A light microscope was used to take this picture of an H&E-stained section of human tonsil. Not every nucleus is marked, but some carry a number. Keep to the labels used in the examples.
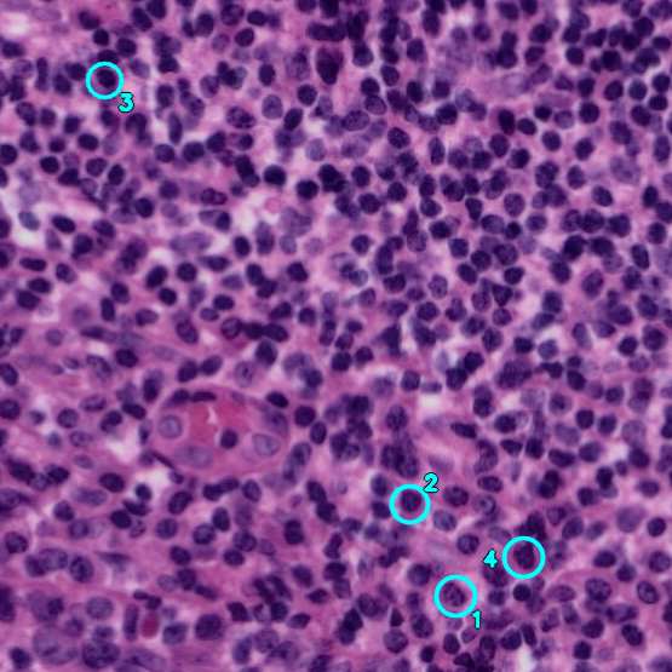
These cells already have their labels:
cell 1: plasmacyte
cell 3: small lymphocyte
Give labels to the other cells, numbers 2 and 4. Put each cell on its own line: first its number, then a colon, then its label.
2: plasmacyte
4: plasmacyte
